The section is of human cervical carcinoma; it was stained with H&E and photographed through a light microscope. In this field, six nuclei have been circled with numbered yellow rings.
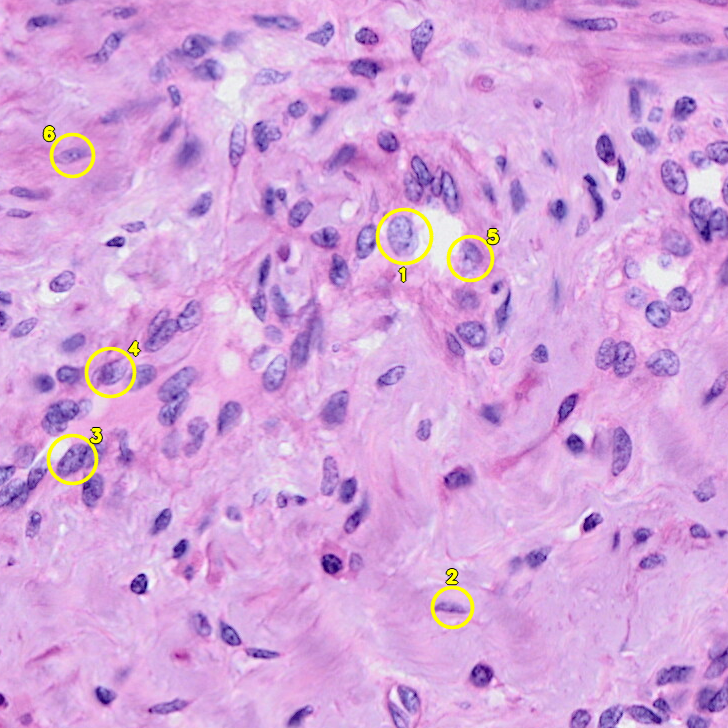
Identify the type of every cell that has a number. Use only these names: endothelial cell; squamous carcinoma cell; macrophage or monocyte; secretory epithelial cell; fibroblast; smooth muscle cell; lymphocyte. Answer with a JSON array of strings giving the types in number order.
["endothelial cell", "fibroblast", "endothelial cell", "endothelial cell", "endothelial cell", "smooth muscle cell"]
